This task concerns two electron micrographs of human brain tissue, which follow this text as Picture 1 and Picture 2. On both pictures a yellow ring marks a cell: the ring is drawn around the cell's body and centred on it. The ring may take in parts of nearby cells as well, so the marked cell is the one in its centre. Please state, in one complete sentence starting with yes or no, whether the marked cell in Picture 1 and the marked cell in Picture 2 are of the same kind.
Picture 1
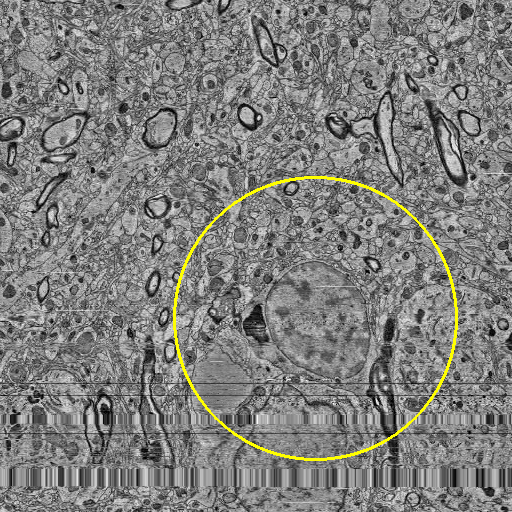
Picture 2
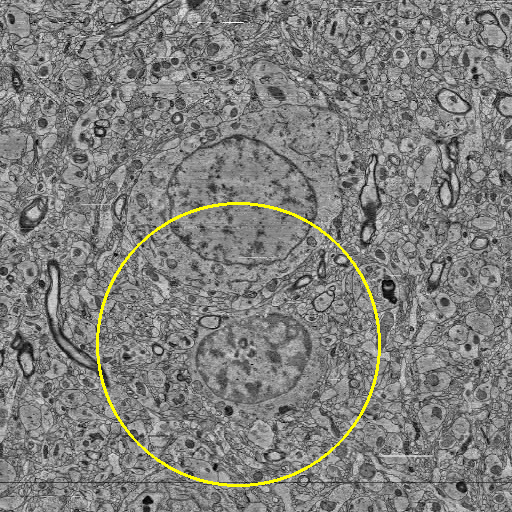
Yes, the marked cells in both pictures are of the same kind.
